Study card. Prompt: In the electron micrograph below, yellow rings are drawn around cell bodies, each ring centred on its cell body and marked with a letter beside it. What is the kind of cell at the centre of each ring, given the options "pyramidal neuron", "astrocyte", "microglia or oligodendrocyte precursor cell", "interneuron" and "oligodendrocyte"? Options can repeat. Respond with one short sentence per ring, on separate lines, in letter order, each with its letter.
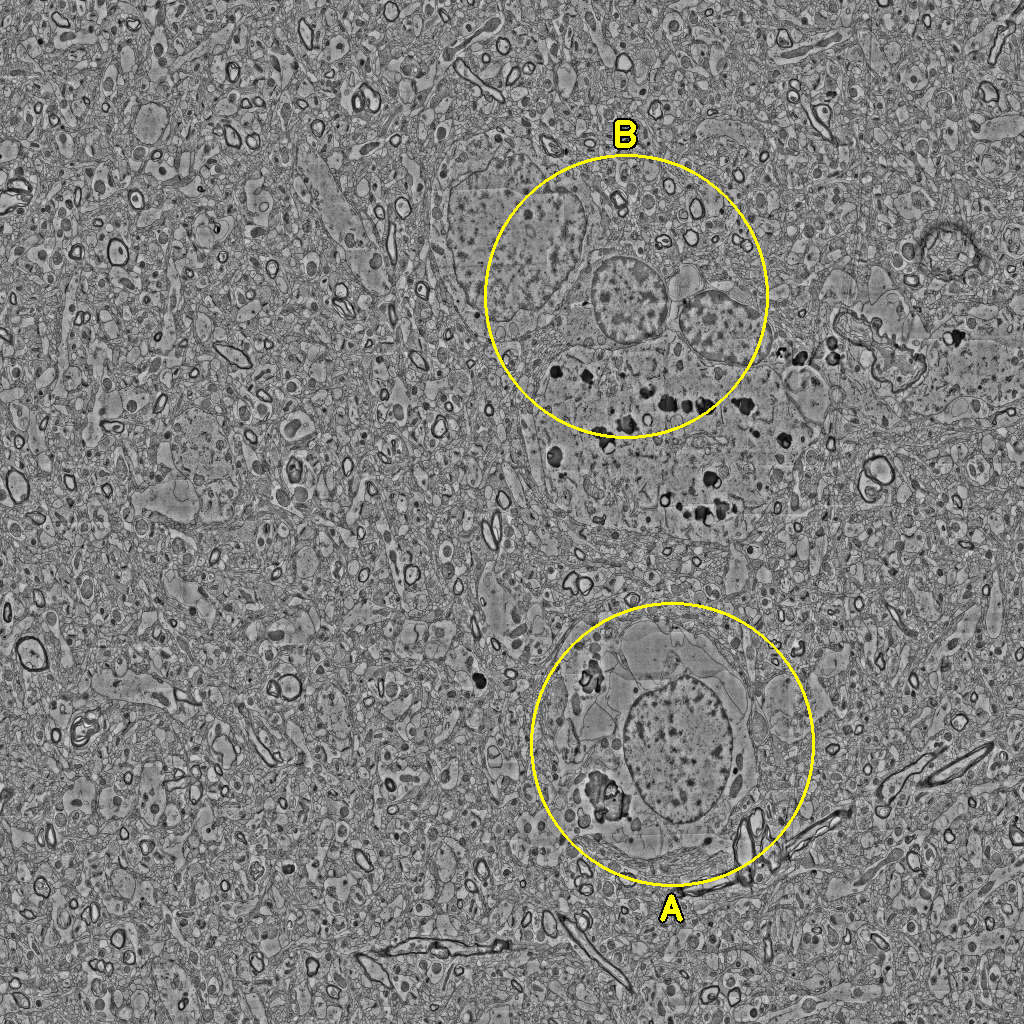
Ring A outlines an astrocyte.
Ring B outlines an oligodendrocyte.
